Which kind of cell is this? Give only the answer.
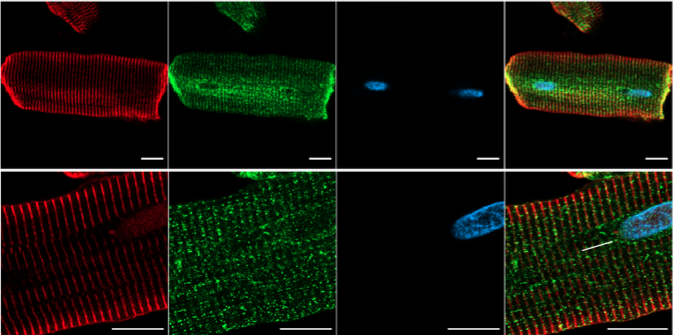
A: Cardiomyocytes.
